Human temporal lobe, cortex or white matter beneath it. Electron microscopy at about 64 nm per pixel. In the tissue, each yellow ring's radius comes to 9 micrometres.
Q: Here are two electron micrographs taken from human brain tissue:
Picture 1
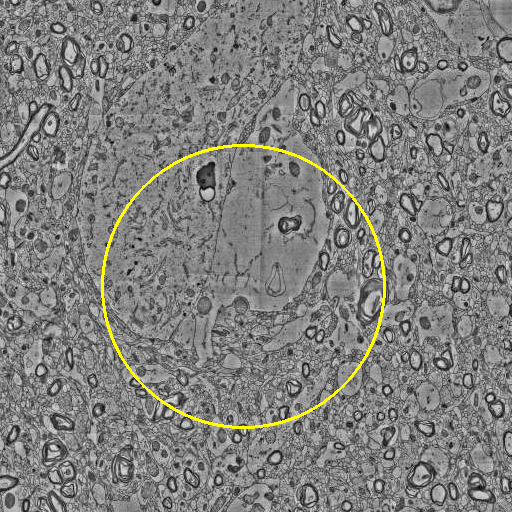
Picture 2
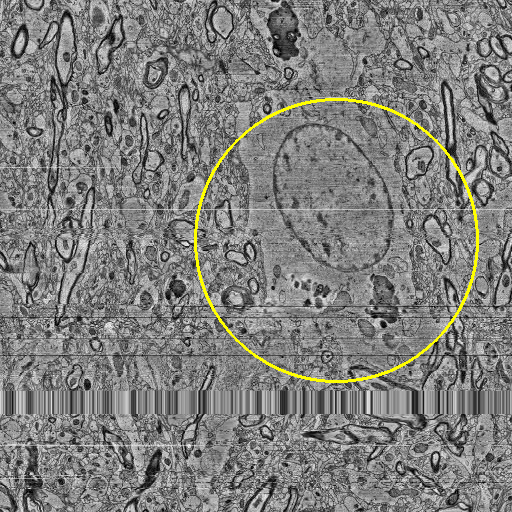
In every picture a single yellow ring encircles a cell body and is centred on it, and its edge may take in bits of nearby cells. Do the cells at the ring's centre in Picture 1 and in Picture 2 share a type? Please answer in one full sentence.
No, the cells at the ring's centre in Picture 1 and Picture 2 are of two types.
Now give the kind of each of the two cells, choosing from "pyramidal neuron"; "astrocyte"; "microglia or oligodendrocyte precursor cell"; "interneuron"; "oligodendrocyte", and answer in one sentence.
The cell in the first picture is an oligodendrocyte, and the cell in the second is an astrocyte.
